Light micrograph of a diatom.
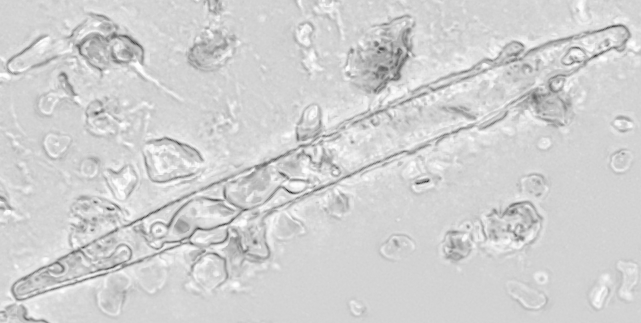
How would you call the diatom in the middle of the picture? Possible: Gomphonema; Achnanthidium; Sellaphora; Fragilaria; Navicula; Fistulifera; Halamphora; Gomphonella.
I would call it Fragilaria.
